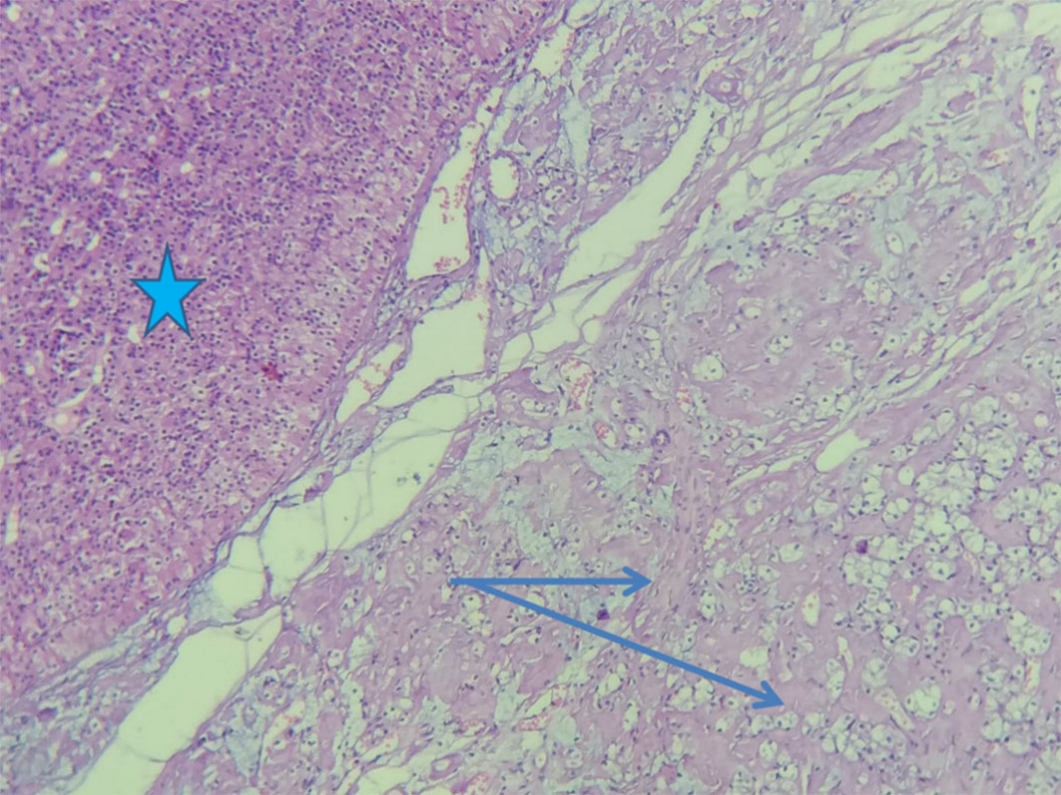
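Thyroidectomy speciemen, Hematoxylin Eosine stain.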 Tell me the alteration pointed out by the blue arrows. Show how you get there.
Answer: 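The material is finely cracked and broken by many small clear spaces. That points to this answer: amyloid deposit.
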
